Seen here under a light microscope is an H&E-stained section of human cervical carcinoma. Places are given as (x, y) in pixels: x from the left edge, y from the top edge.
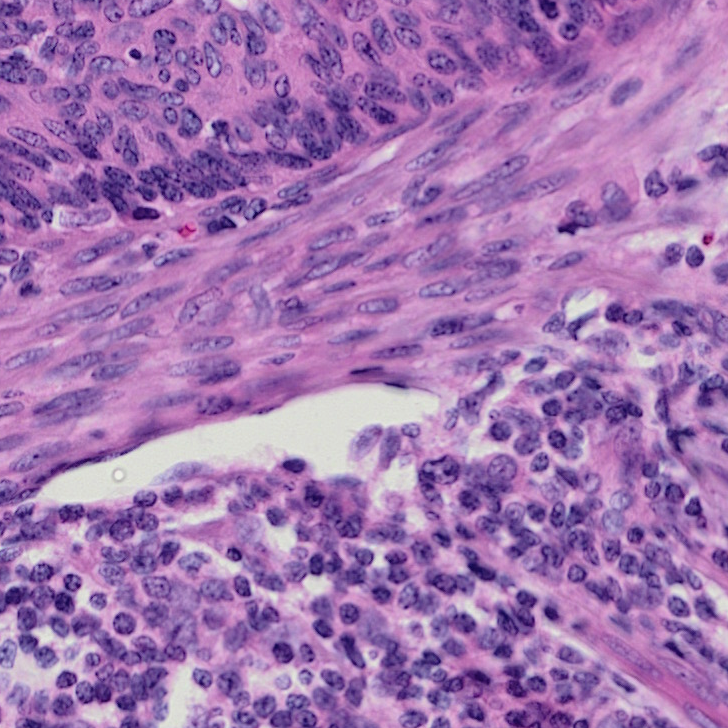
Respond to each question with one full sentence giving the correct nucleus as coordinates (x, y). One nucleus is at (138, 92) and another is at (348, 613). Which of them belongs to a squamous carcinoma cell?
The cell to which the nucleus at (138, 92) belongs is a squamous carcinoma cell.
